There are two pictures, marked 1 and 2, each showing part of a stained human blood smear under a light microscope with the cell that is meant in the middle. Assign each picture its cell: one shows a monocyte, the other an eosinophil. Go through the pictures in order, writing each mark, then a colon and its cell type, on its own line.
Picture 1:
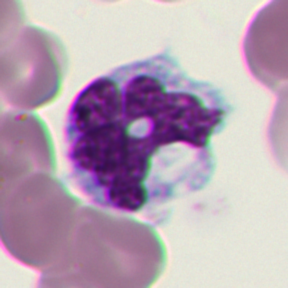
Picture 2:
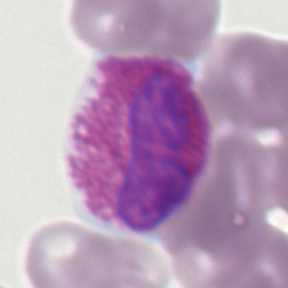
1: monocyte
2: eosinophil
